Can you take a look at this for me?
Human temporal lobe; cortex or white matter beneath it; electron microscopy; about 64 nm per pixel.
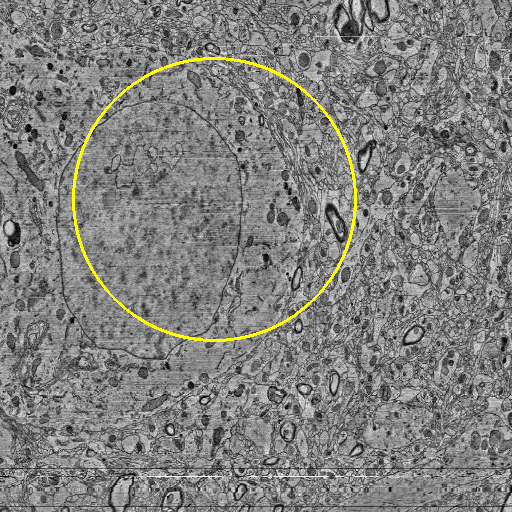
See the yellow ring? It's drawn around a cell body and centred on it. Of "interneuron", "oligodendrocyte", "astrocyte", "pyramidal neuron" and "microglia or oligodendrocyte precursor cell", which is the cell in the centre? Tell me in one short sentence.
The one in the centre is a pyramidal neuron.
